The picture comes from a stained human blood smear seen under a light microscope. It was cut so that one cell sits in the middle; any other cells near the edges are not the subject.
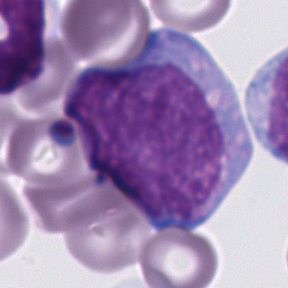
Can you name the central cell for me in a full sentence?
Within this crop, a promyelocyte occupies the central position.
